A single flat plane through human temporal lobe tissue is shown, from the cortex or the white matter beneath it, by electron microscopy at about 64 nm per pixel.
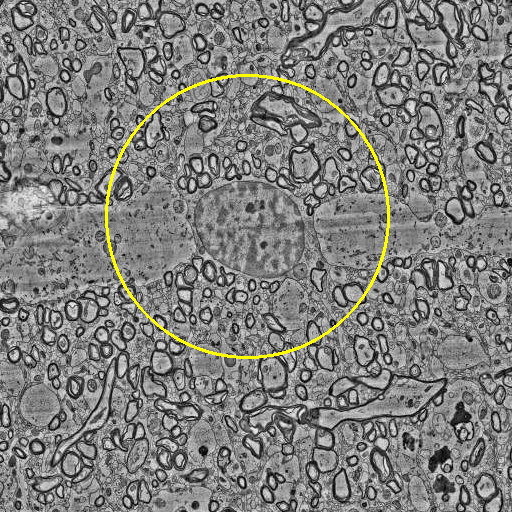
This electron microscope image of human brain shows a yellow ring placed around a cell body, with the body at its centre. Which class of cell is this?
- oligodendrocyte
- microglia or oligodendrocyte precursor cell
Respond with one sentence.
The cell body at the ring's centre is an oligodendrocyte.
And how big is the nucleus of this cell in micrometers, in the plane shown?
In this plane the nucleus measures roughly 7 by 6 micrometres.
